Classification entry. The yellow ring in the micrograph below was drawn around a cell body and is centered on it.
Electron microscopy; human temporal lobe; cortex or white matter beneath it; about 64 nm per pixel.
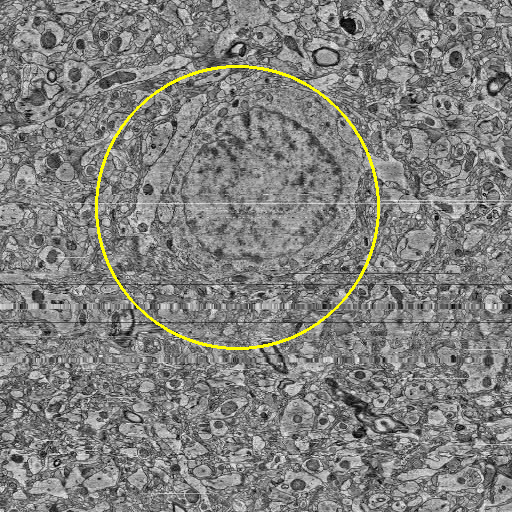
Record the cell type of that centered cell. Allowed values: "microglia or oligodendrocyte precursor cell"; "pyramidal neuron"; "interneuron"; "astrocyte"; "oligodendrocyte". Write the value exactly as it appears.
interneuron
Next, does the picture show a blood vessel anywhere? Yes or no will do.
No.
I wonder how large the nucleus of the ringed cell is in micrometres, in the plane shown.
In this plane, roughly 10 micrometres across.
